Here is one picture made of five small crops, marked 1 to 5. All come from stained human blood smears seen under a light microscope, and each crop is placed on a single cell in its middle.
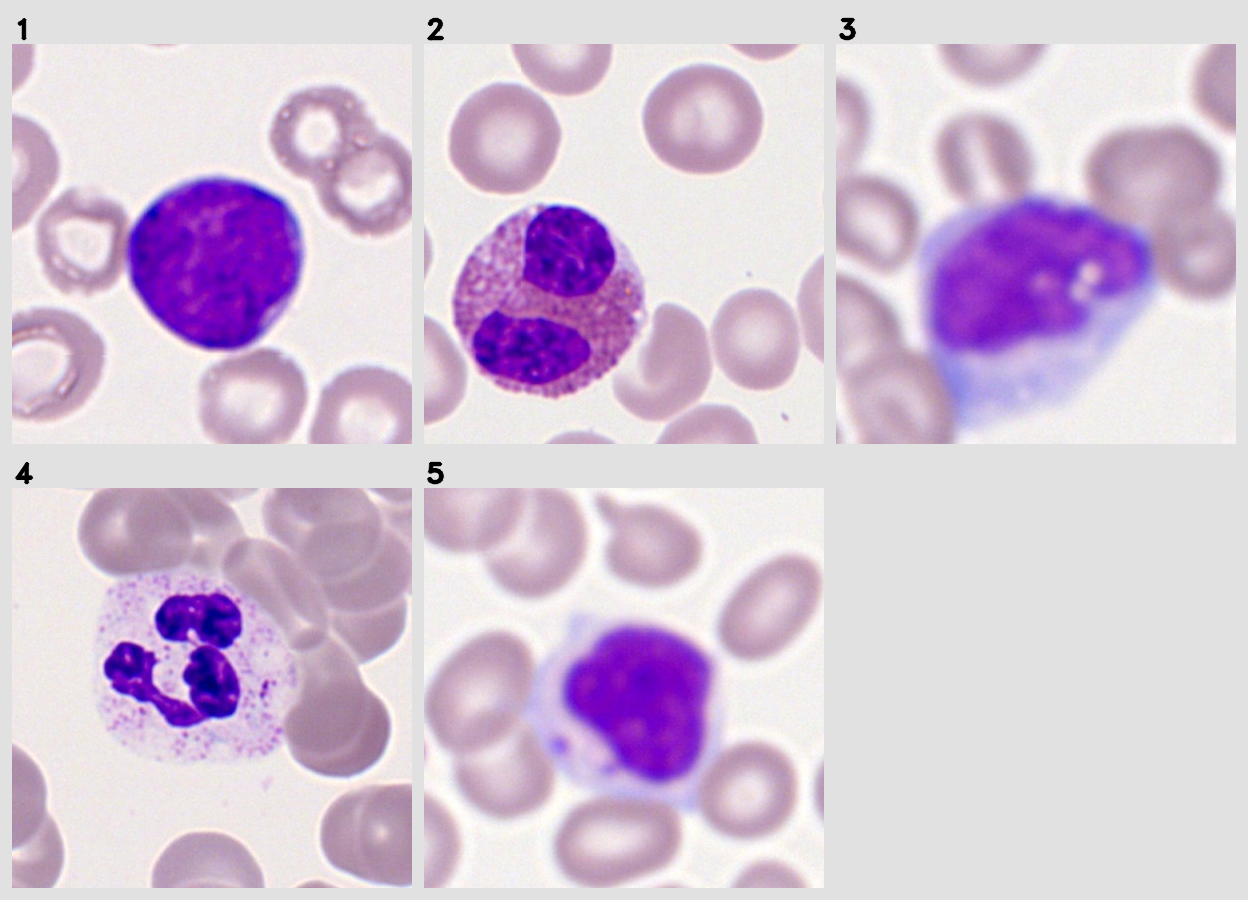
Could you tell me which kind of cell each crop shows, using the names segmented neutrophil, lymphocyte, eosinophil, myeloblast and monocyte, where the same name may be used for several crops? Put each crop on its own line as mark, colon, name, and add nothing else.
1: myeloblast
2: eosinophil
3: monocyte
4: segmented neutrophil
5: lymphocyte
